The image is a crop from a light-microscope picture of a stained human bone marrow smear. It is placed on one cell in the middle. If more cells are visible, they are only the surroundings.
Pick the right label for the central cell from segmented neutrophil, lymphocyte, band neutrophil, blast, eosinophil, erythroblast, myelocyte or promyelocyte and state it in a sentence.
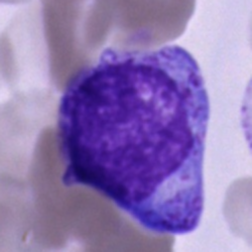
In the centre of this crop there is a promyelocyte.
